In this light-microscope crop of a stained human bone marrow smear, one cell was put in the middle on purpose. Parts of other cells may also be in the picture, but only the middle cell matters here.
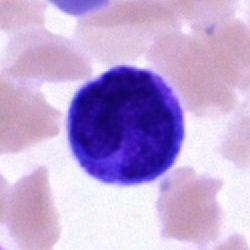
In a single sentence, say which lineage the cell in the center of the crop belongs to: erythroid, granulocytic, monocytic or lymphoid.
Belonging to the monocytic lineage is the cell positioned in the middle.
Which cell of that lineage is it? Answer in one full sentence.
The middle position in this crop is taken by a monocyte.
